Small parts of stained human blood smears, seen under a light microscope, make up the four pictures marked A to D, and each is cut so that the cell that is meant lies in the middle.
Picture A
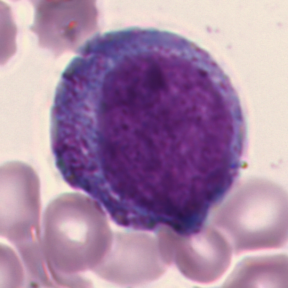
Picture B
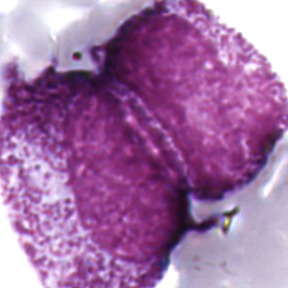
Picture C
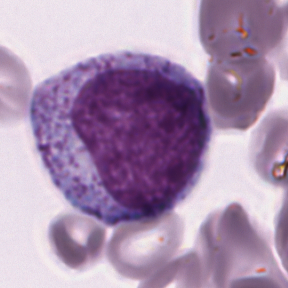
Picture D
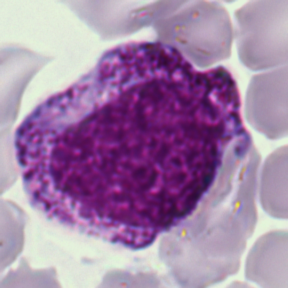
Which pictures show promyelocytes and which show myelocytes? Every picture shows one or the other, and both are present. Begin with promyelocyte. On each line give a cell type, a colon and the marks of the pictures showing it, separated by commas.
promyelocyte: A, C, D
myelocyte: B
